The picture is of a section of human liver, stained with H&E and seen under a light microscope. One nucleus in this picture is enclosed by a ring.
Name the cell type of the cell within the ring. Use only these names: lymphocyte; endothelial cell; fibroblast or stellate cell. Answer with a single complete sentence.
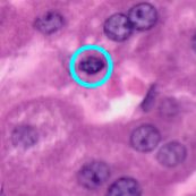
Assigned to a cell type, the cell within the ring is a fibroblast or stellate cell.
